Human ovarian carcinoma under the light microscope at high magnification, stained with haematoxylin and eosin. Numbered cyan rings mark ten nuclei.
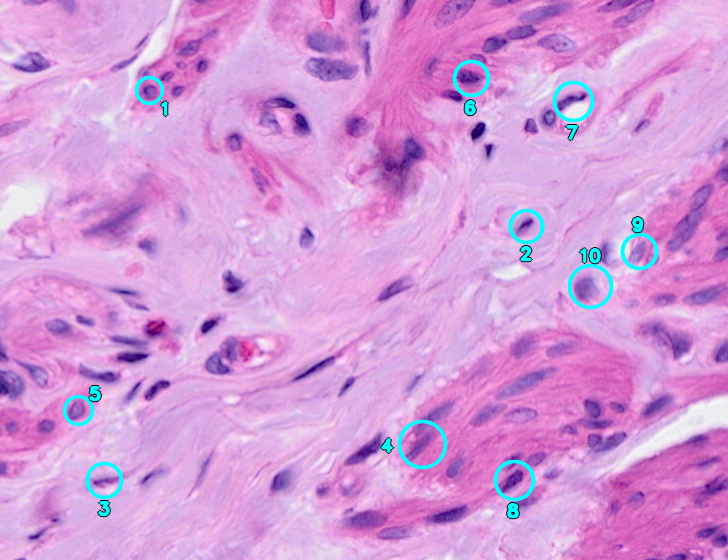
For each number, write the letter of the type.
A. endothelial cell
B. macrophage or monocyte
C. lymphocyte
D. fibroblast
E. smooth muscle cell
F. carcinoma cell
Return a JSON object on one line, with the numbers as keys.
{"1": "E", "2": "D", "3": "D", "4": "E", "5": "E", "6": "E", "7": "A", "8": "E", "9": "E", "10": "D"}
